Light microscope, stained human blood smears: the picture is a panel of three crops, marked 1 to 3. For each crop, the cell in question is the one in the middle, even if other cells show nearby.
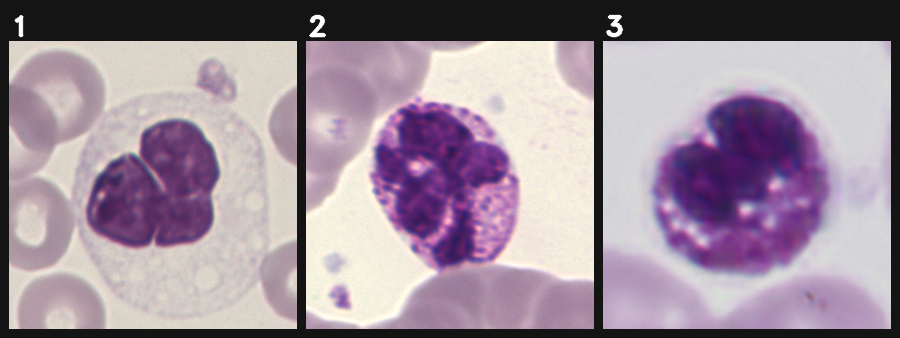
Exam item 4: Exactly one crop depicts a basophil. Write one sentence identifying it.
Crop 2 is the crop containing a basophil.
